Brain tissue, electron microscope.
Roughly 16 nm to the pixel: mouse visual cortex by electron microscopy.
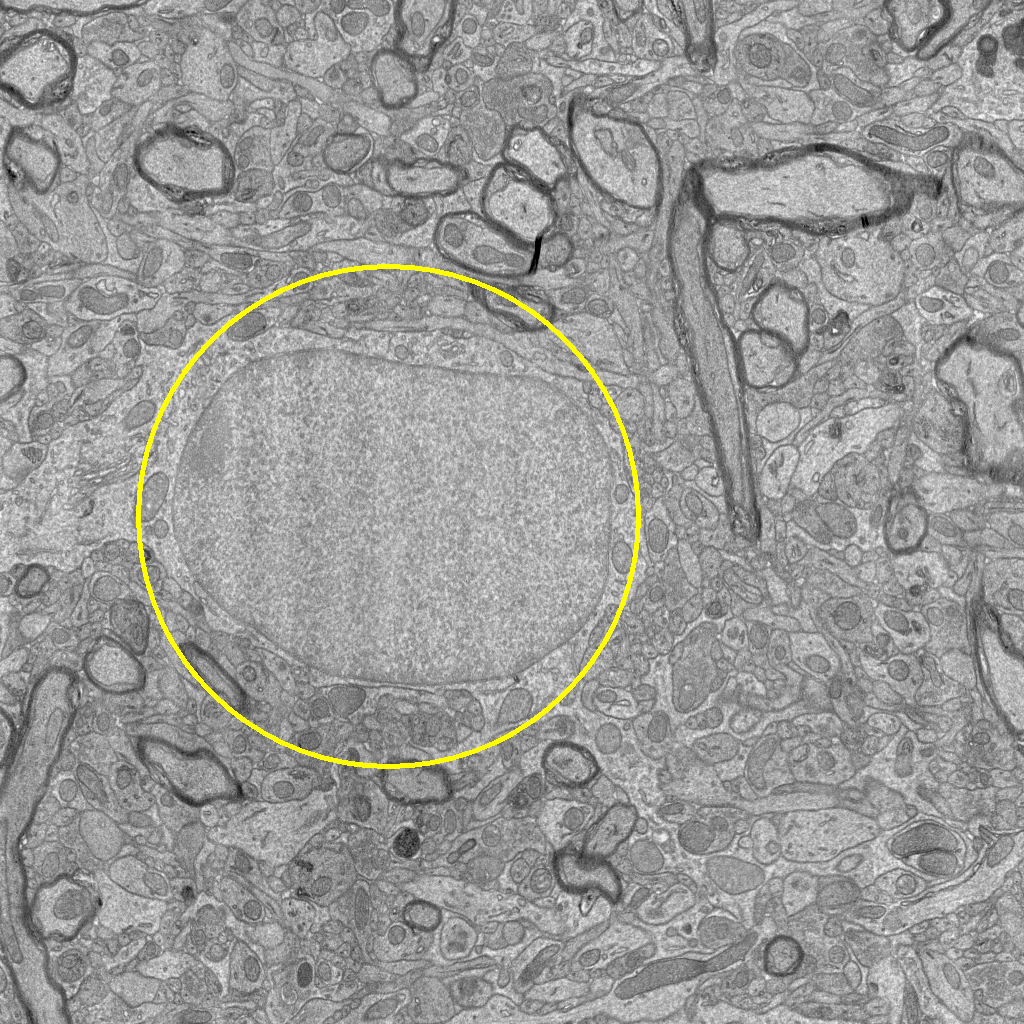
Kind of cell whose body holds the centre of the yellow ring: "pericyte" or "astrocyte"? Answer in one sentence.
The ring's centre falls on an astrocyte.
